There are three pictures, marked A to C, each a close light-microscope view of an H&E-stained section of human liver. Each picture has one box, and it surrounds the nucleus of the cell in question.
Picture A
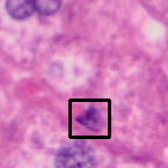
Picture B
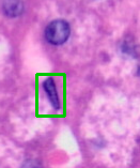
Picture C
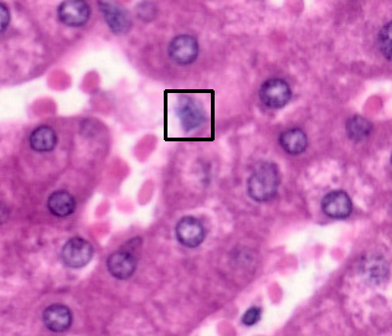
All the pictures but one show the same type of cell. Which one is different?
B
